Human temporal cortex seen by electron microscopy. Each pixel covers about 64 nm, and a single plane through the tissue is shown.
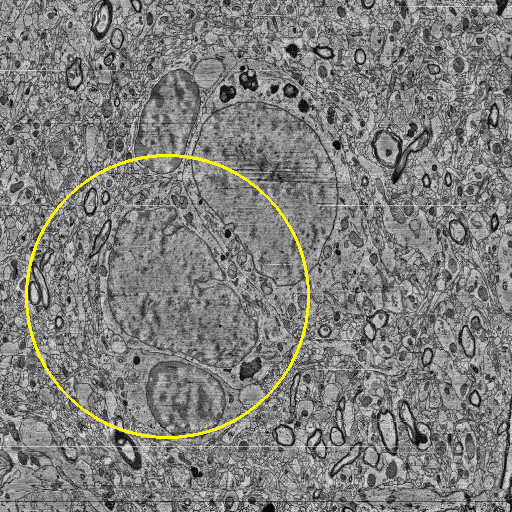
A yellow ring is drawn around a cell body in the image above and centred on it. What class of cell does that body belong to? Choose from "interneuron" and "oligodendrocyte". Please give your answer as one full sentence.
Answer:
The yellow ring above is centred on the cell body of an interneuron.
